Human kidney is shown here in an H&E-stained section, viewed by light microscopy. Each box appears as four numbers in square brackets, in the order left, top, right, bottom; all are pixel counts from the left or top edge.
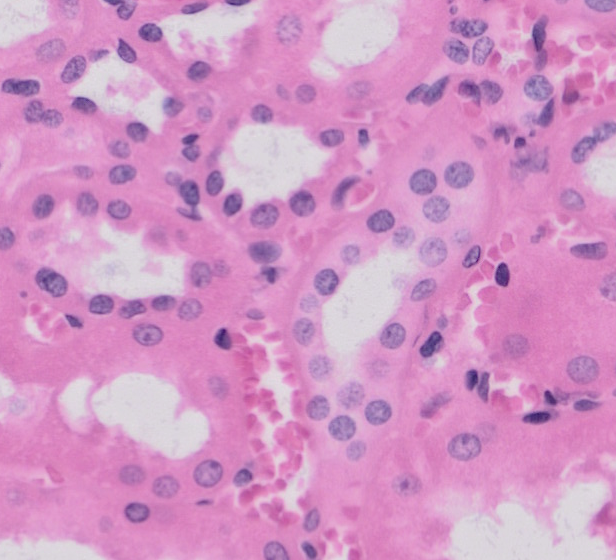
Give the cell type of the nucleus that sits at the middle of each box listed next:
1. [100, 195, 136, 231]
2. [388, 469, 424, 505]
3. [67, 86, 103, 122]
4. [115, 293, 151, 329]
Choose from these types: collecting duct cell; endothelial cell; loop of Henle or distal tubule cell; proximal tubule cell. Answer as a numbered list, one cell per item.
1. loop of Henle or distal tubule cell
2. proximal tubule cell
3. loop of Henle or distal tubule cell
4. loop of Henle or distal tubule cell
